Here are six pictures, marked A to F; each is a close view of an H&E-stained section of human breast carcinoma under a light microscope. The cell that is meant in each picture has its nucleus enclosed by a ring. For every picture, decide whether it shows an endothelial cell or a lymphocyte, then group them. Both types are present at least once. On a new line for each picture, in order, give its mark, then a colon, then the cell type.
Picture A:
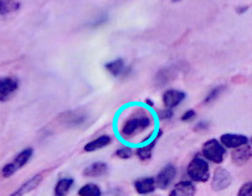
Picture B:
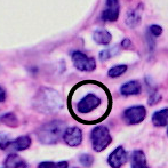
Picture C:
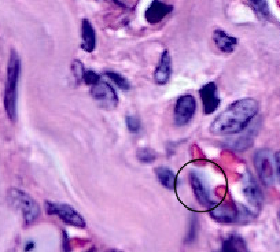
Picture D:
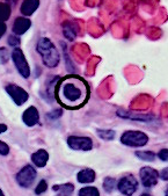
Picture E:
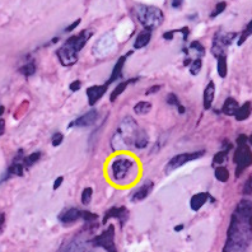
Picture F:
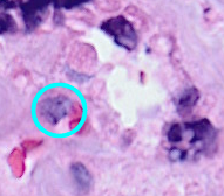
A: lymphocyte
B: lymphocyte
C: endothelial cell
D: lymphocyte
E: endothelial cell
F: endothelial cell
